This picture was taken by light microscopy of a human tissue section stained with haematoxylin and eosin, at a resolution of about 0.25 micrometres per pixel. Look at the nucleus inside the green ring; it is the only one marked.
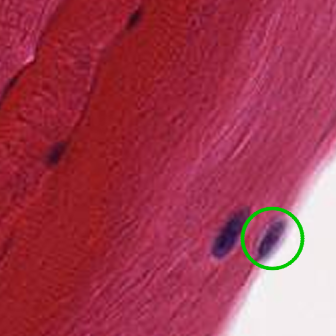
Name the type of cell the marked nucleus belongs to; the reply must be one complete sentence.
The cell to which the marked nucleus belongs is a skeletal muscle fibre.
